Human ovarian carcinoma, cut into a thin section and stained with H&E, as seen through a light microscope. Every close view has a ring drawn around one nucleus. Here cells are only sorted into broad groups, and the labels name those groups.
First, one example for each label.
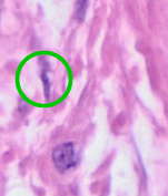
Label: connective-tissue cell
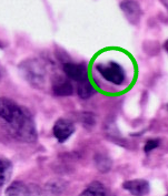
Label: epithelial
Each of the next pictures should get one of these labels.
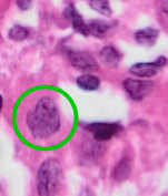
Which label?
epithelial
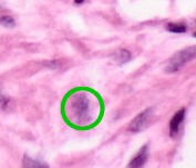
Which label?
connective-tissue cell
